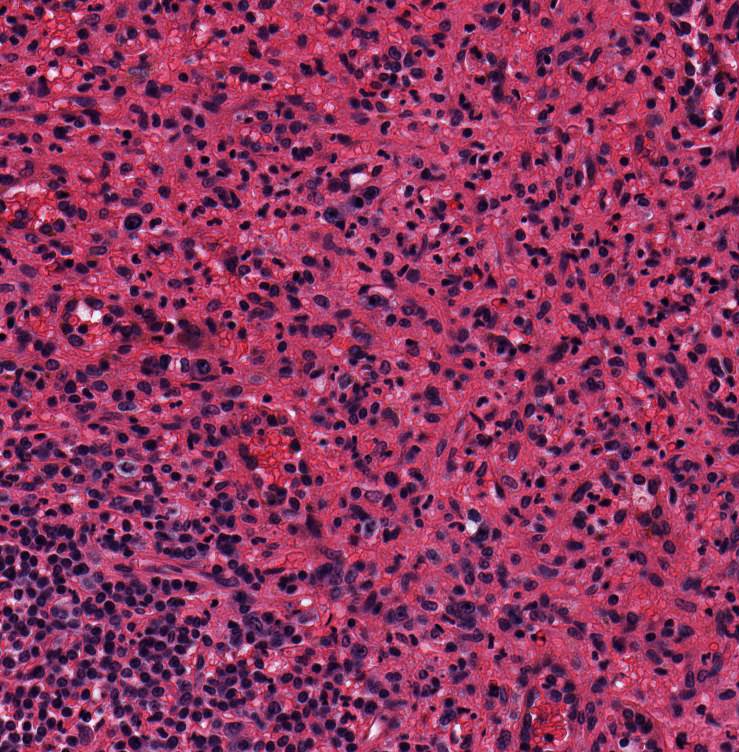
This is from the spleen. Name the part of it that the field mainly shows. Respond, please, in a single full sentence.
The tissue part this section presents is named red pulp.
